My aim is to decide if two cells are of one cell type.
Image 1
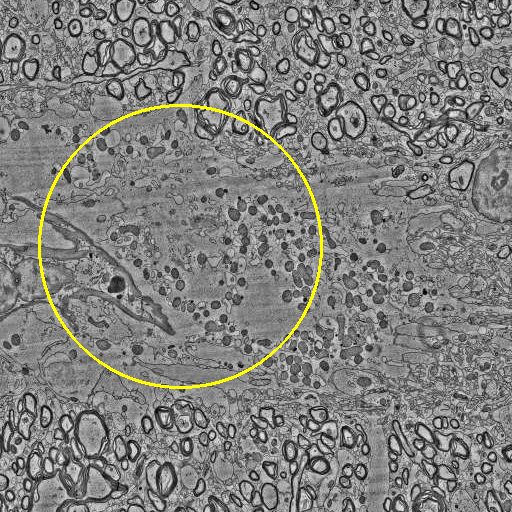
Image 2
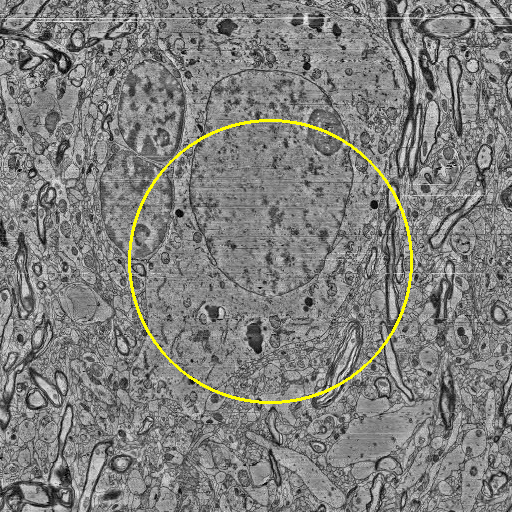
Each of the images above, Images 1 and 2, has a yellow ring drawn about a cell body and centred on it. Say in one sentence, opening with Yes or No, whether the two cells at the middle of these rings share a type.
No, in Images 1 and 2 the cells at the middle of the rings fall into two types.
